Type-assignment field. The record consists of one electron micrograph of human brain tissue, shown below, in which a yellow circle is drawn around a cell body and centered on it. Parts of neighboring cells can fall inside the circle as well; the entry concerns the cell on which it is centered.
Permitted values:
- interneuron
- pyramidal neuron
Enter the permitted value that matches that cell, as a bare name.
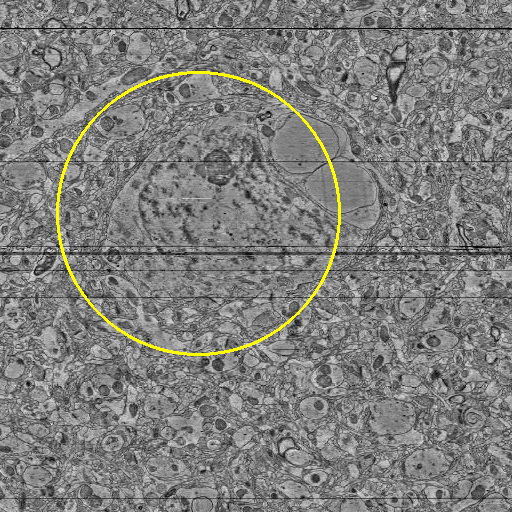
interneuron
